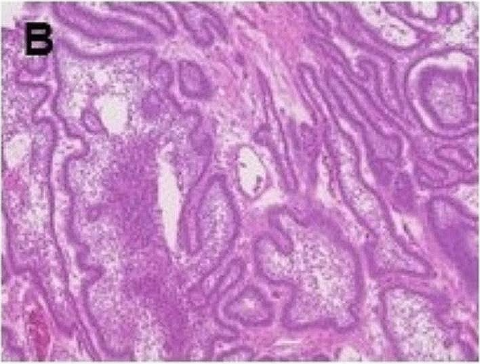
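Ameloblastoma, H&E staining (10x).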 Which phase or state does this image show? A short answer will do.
Plexiform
